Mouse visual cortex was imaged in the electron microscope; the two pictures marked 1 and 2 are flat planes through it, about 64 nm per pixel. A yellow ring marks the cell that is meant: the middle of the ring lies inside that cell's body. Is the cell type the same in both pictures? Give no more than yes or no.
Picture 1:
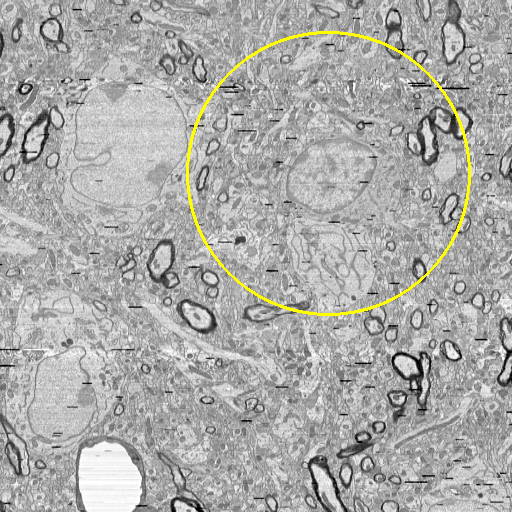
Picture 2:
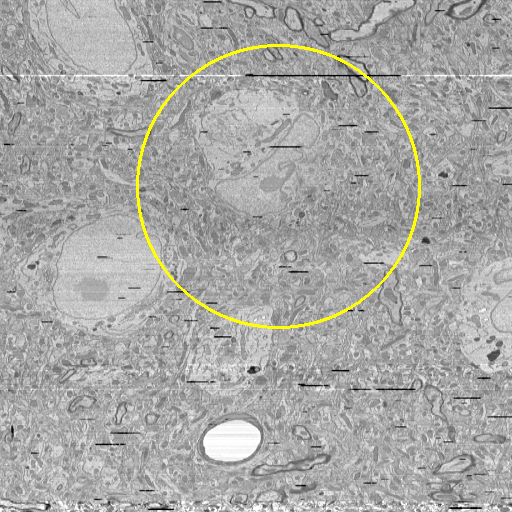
no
